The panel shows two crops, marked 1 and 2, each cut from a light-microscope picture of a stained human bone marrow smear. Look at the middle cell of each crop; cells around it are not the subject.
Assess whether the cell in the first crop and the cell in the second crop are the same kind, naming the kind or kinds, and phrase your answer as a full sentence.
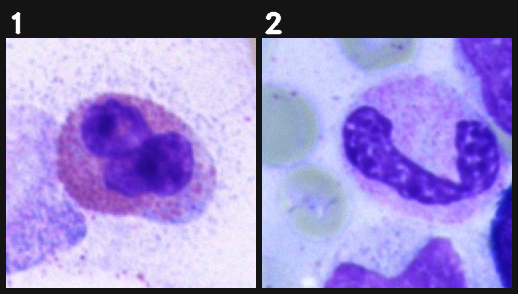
No; crop 1 is an eosinophil, while crop 2 is a segmented neutrophil.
